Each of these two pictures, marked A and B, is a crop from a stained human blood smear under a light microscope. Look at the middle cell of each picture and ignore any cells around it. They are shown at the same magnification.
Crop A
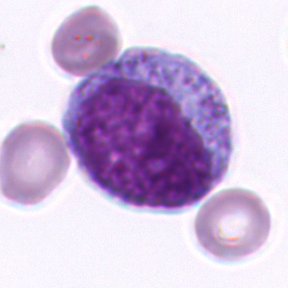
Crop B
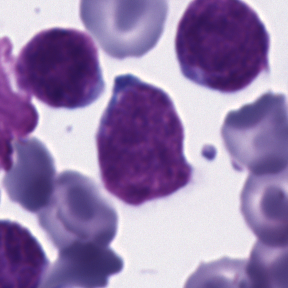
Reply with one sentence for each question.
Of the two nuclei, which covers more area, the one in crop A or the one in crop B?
Larger is the nucleus in crop A, at roughly 1.5 times the area of the other.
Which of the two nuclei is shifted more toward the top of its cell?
The nucleus in crop B lies further toward the top of its cell.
